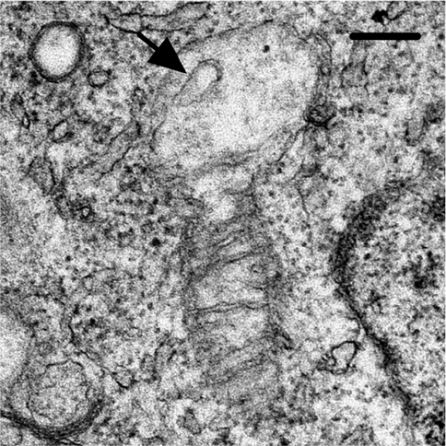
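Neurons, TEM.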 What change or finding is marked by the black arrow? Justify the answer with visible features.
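“ballooning” of outer mitochondrial membrane. The pale space has almost no internal membrane folds.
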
